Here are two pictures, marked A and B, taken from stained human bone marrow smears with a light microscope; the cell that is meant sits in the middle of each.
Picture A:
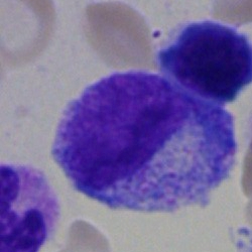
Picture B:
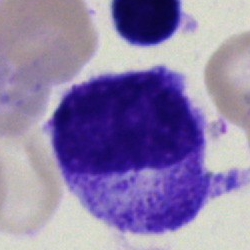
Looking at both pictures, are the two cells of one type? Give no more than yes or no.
yes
